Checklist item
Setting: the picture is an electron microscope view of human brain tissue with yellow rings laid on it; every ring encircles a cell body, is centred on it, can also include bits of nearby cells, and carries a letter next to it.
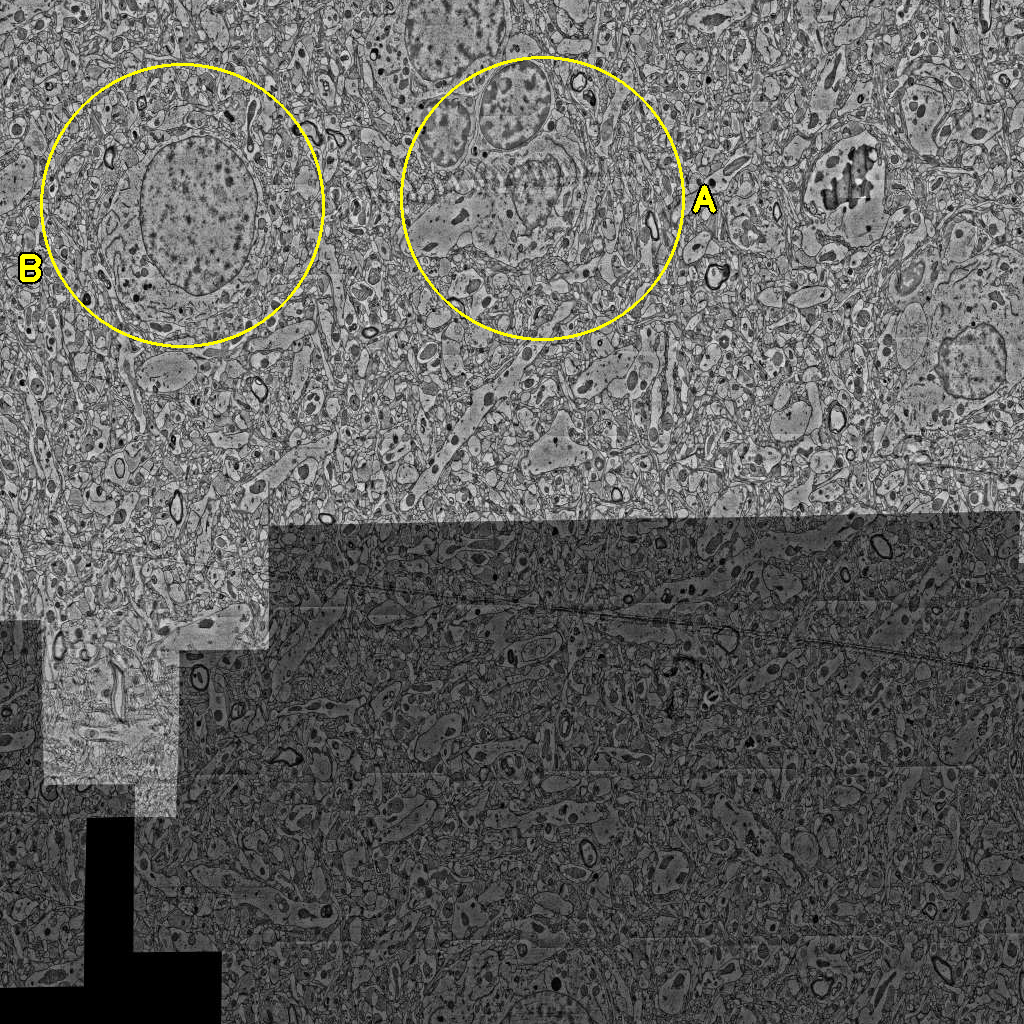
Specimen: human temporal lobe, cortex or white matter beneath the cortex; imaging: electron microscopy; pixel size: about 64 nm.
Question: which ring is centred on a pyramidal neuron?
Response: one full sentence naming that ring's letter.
My response is that ring B has the sought cell at its centre.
